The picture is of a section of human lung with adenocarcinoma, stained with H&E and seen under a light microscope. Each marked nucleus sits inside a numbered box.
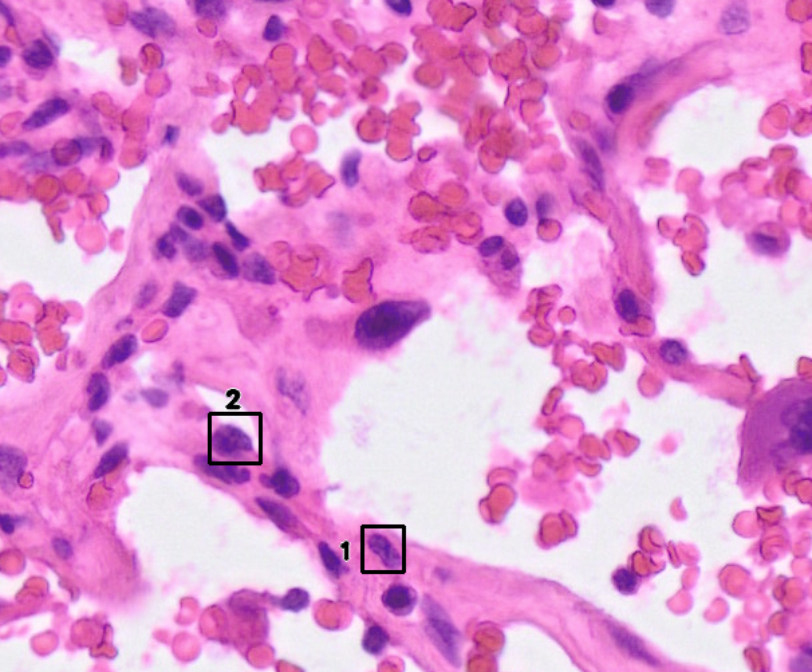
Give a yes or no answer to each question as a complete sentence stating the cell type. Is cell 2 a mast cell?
No, the cell with the number 2 is a type I pneumocyte, not a mast cell.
